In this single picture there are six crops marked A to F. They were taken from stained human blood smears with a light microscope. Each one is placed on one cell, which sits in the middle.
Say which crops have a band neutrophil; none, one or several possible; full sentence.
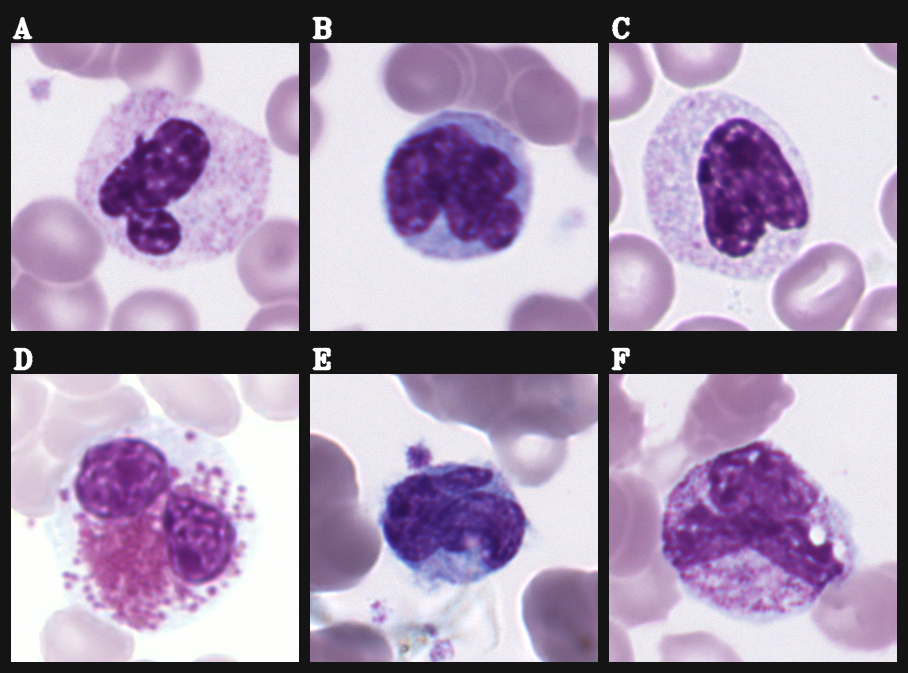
Only crop C shows a band neutrophil; none of the others do.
